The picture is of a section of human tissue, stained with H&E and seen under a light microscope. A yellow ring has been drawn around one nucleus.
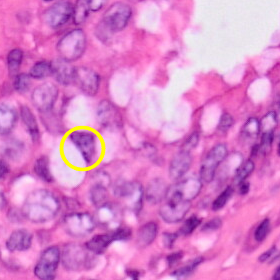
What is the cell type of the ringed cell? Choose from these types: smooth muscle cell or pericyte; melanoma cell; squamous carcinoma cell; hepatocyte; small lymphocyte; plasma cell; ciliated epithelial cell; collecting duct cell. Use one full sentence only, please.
Cell type answer for this item: the ringed cell is a ciliated epithelial cell.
